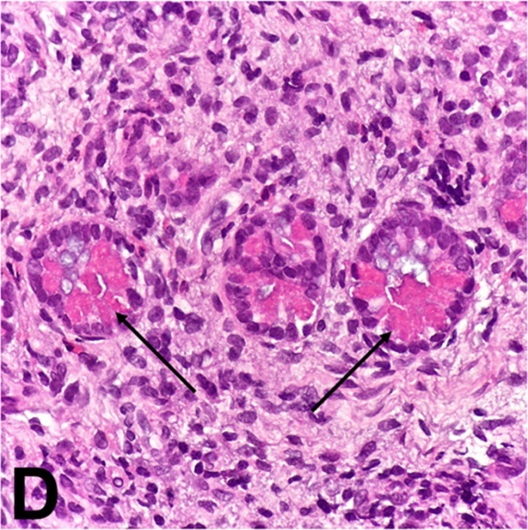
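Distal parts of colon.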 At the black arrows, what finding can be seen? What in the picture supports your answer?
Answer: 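Paneth cell metaplasia. The arrows point to crypts whose cells are packed with bright red-pink cytoplasmic granules. The granules sit toward the crypt lumens.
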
